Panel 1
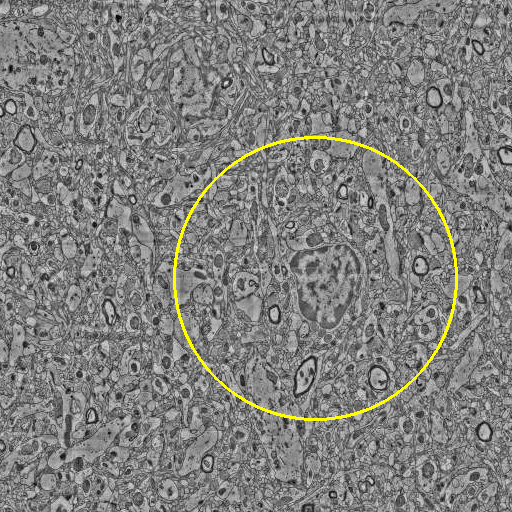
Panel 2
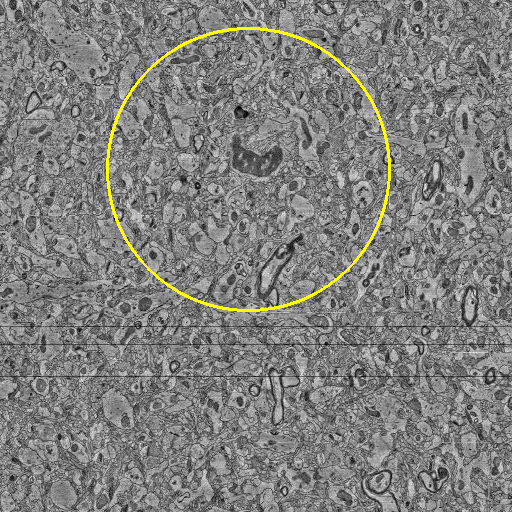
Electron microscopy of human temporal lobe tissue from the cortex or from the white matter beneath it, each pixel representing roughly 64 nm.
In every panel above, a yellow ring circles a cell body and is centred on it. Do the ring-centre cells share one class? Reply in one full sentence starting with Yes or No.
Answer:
Yes, the two cells at the ring centres in the panels belong to one class.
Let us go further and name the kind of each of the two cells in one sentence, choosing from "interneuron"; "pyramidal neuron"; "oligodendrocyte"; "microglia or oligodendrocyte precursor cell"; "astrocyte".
The second cell is a microglial cell or oligodendrocyte precursor cell, just as the first is.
